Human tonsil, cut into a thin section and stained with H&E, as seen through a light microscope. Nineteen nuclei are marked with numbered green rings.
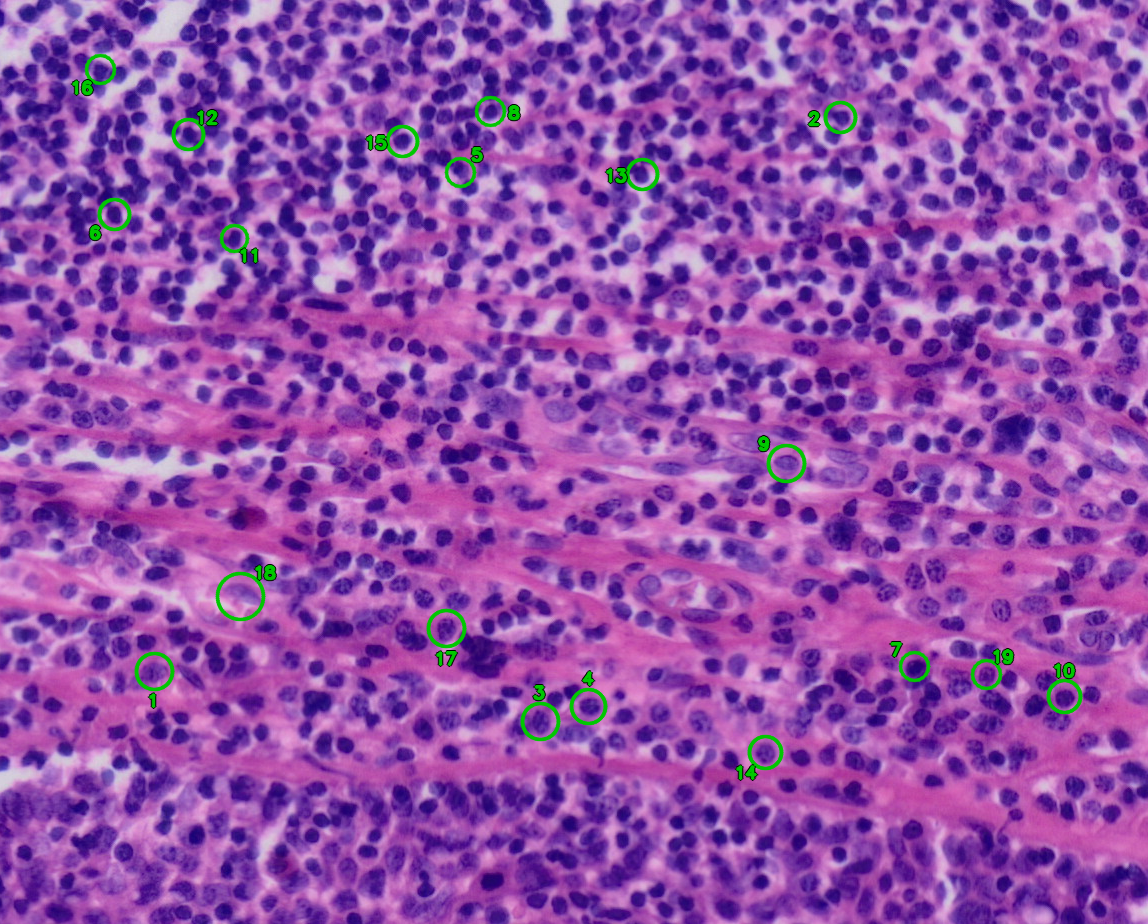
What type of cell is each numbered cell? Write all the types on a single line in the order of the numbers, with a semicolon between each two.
endothelial cell; small lymphocyte; plasma cell; plasma cell; small lymphocyte; small lymphocyte; plasma cell; small lymphocyte; endothelial cell; plasma cell; small lymphocyte; small lymphocyte; small lymphocyte; plasma cell; small lymphocyte; small lymphocyte; plasma cell; endothelial cell; plasma cell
